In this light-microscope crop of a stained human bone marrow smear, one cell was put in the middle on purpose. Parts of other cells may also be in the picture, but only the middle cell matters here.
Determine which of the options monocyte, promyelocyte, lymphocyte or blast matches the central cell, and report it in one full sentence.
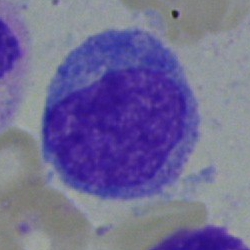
The identification for the central cell is a monocyte.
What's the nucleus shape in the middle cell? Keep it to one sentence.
A single compact nucleus is present, shaped round, oval or like a kidney.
